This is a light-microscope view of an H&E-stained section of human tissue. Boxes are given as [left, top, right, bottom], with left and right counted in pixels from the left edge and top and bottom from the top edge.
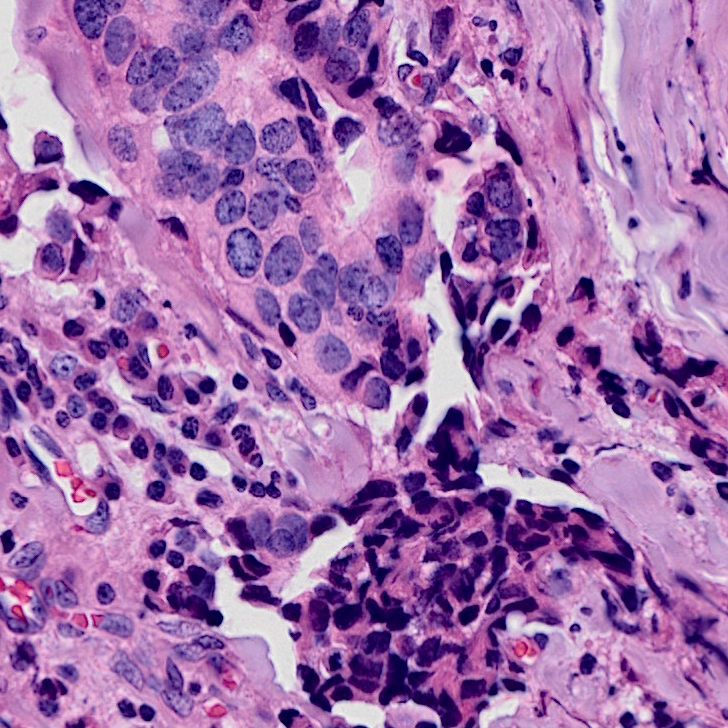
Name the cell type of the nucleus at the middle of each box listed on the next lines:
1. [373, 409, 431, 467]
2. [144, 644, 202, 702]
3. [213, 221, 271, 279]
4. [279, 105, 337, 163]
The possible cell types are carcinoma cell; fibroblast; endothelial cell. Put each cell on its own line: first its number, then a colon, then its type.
1: carcinoma cell
2: endothelial cell
3: carcinoma cell
4: carcinoma cell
